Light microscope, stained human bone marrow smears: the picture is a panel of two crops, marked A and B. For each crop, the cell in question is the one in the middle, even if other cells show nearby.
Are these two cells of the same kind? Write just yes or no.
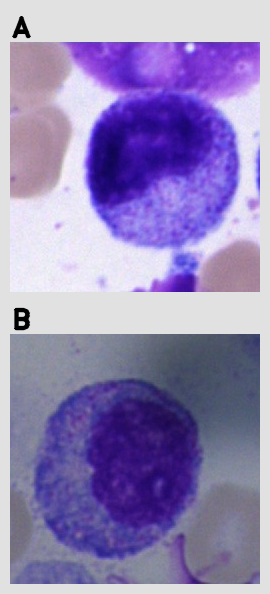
yes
